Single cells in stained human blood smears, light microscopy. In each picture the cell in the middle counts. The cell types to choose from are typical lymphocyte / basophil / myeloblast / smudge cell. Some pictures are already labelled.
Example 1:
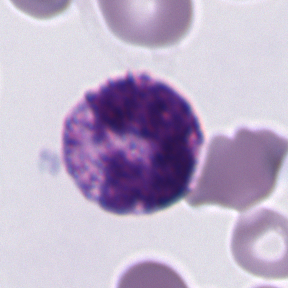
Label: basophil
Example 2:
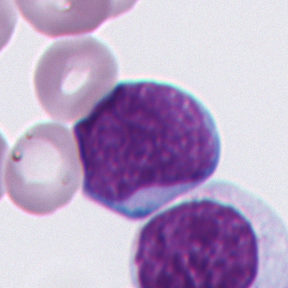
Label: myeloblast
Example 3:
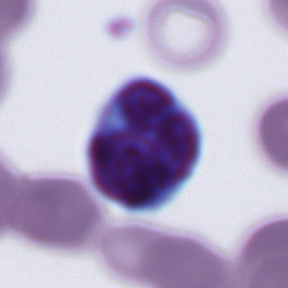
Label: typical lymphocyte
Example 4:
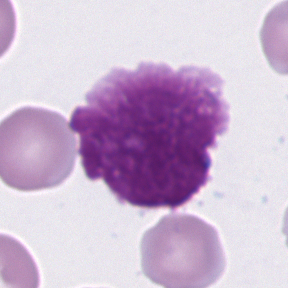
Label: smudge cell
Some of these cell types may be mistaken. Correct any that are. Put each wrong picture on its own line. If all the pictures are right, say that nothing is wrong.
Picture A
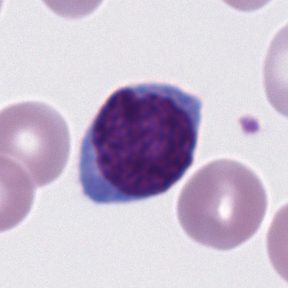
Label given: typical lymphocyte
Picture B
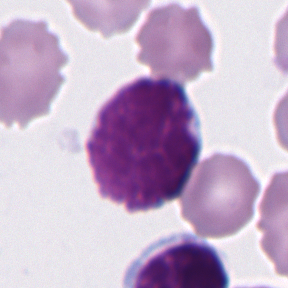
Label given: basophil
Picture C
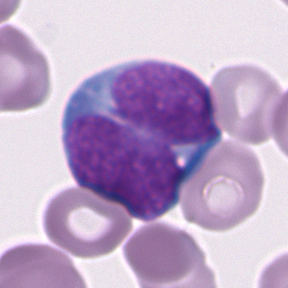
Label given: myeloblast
B is labelled basophil; correct label: smudge cell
